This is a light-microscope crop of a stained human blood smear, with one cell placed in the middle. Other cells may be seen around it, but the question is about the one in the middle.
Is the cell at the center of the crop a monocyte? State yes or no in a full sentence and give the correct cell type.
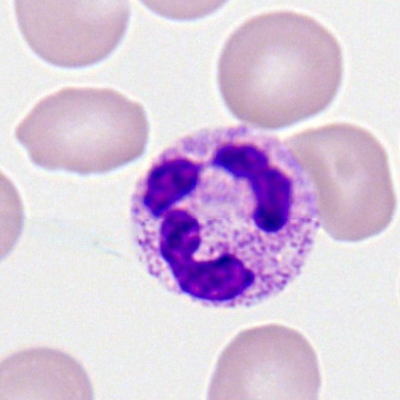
No, the central cell should be identified as a segmented neutrophil, not as a monocyte.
